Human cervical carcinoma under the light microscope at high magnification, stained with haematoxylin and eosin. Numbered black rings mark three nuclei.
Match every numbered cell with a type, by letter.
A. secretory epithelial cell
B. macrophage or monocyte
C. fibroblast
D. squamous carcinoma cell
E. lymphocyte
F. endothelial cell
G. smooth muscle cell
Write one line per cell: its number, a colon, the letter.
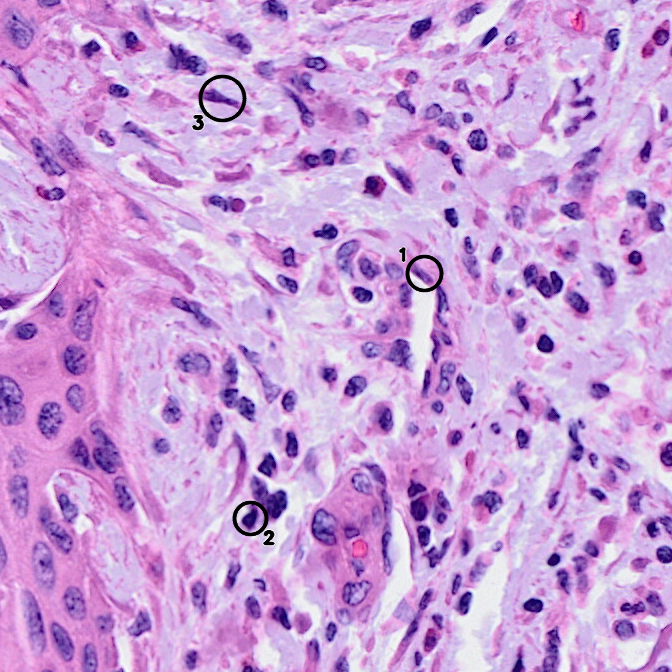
1: F
2: E
3: C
